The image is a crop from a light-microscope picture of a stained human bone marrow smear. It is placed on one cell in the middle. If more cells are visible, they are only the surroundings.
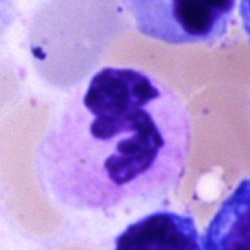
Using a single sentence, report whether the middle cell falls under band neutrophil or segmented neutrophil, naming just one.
To answer, the cell in the center of the crop is a segmented neutrophil.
